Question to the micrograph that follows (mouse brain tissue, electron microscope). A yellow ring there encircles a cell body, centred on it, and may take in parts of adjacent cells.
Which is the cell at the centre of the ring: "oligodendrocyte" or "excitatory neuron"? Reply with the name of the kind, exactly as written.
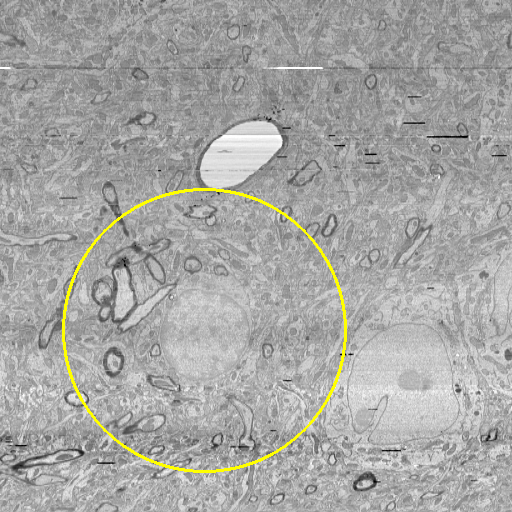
oligodendrocyte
